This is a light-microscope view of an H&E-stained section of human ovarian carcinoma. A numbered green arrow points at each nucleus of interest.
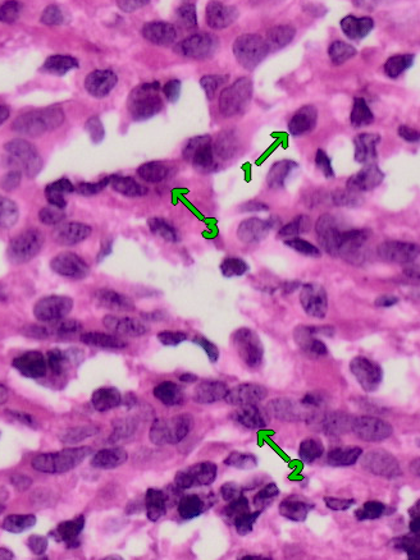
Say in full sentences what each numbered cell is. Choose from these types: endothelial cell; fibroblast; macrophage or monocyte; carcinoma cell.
Cells 1 and 3 are carcinoma cells. Cell 2 is a macrophage or monocyte.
